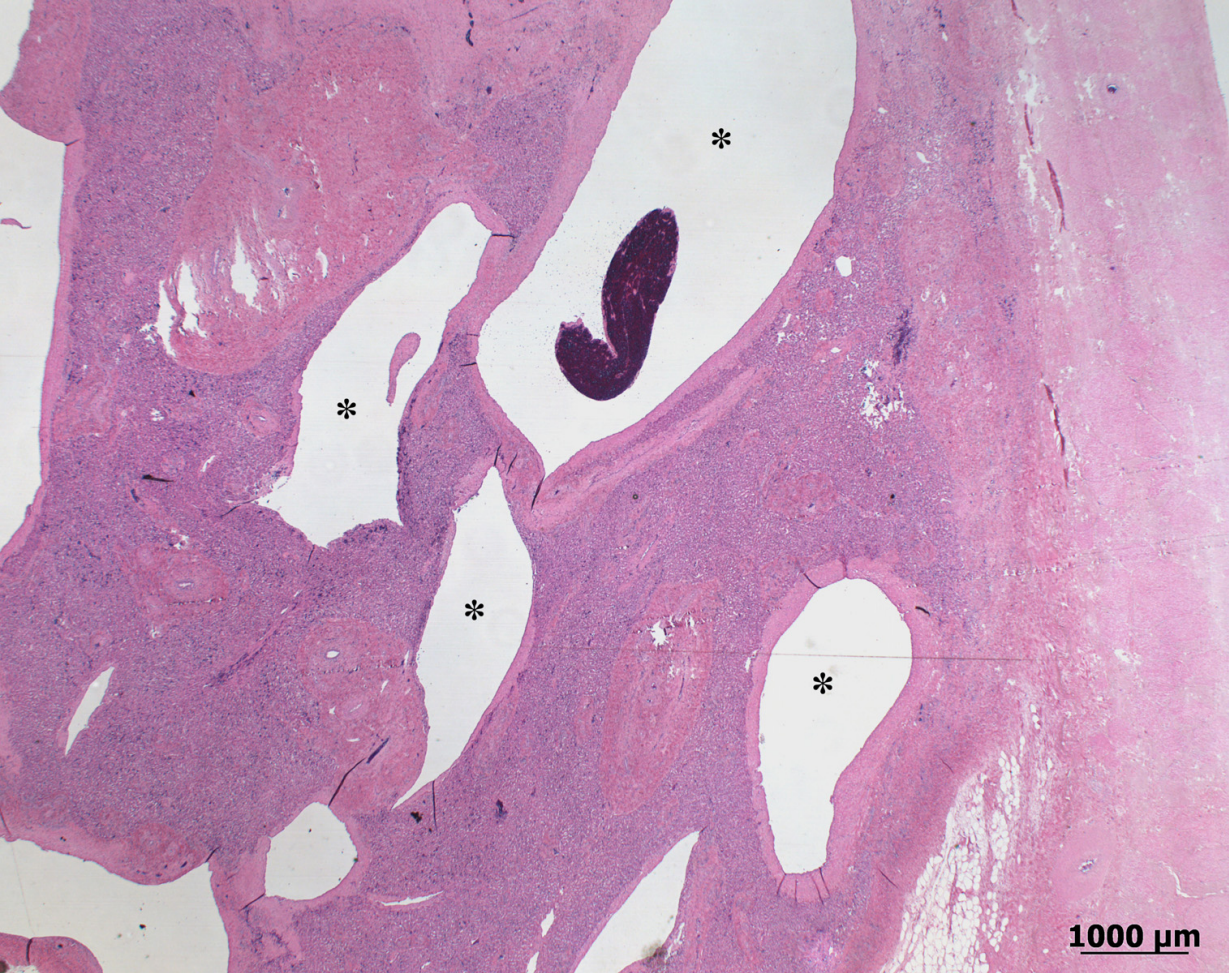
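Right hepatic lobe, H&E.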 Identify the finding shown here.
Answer: cavernous mass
